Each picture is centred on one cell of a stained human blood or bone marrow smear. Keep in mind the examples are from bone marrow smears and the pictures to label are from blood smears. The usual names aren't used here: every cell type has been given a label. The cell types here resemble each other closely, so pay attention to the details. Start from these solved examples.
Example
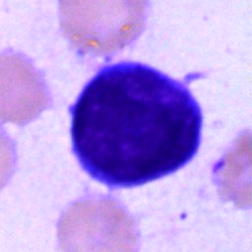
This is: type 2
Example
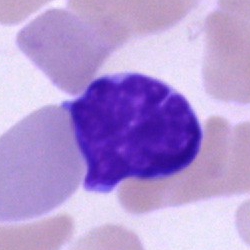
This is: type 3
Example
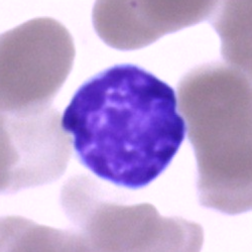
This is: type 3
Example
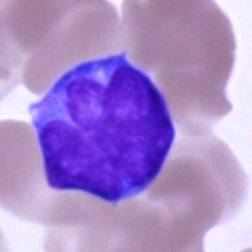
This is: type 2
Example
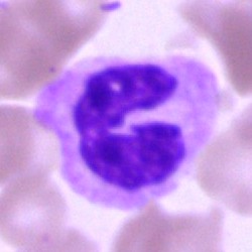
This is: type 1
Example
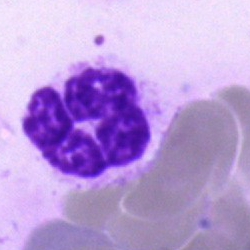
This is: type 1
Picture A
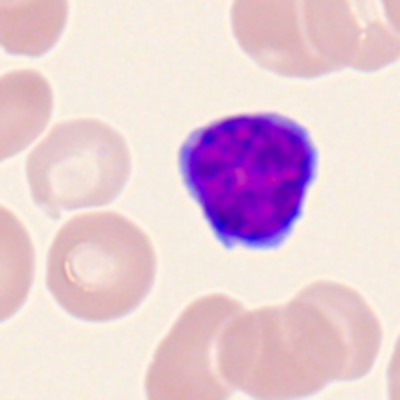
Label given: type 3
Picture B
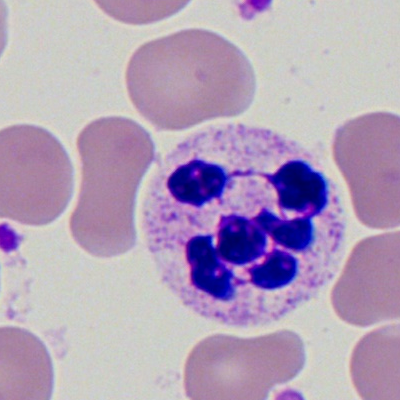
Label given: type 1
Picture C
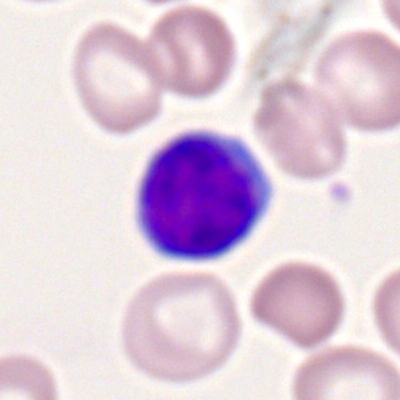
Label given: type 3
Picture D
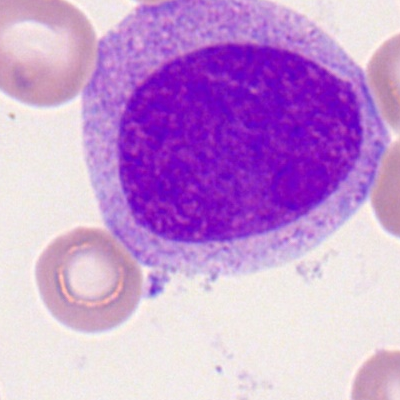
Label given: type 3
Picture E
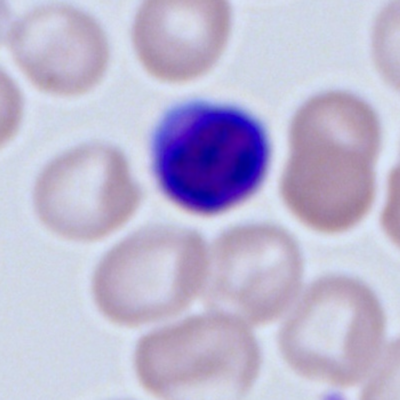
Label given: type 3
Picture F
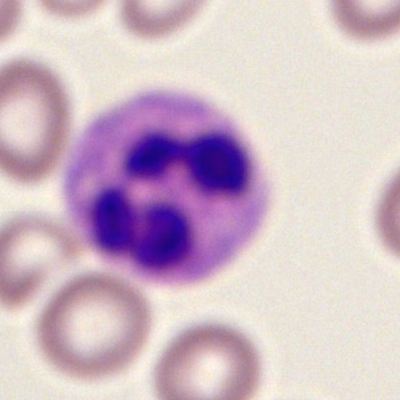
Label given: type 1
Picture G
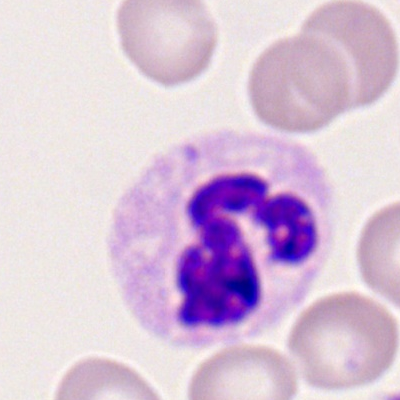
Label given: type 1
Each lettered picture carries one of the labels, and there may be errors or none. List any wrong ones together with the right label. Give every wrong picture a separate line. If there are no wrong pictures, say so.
D should be type 2, not type 3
